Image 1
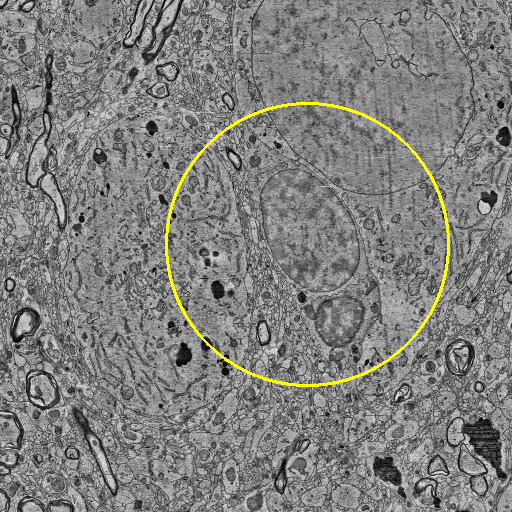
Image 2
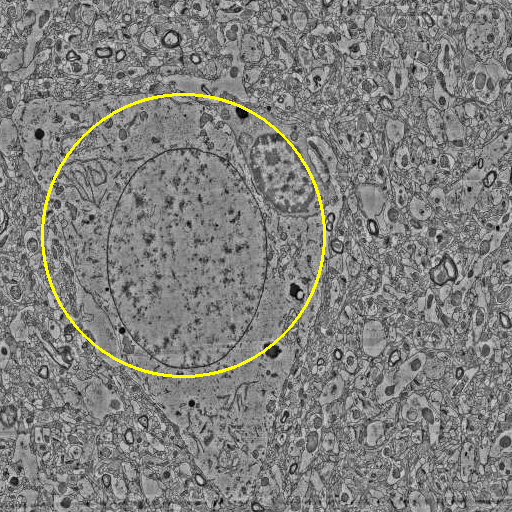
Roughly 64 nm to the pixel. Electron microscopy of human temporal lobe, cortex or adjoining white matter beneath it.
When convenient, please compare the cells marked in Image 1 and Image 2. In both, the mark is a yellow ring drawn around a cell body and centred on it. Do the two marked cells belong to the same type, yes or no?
no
